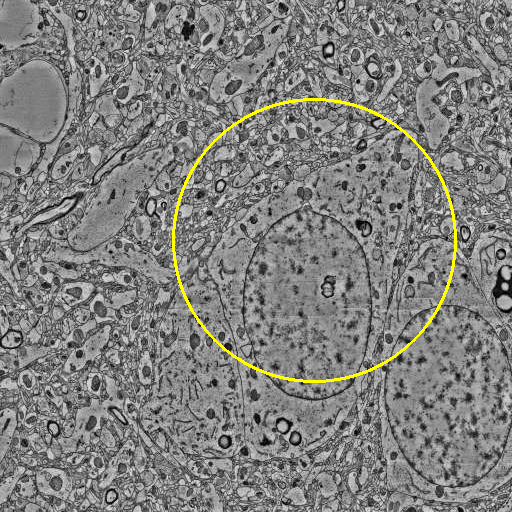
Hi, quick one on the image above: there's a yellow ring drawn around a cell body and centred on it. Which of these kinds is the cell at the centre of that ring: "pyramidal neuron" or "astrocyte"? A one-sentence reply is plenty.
The cell at the centre of the ring is a pyramidal neuron.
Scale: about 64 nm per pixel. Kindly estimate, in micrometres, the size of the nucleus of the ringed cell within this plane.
The nucleus has a long axis of about 12 micrometres and a short axis of about 8 micrometres in this plane.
